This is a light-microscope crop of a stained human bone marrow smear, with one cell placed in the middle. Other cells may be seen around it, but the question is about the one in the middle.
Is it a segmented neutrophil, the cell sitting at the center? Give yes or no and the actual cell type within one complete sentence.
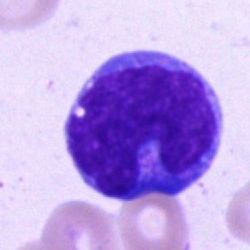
No, not a segmented neutrophil: the cell in the middle of this crop is a monocyte.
